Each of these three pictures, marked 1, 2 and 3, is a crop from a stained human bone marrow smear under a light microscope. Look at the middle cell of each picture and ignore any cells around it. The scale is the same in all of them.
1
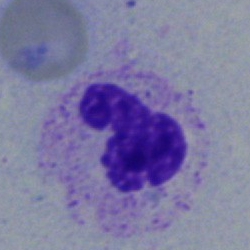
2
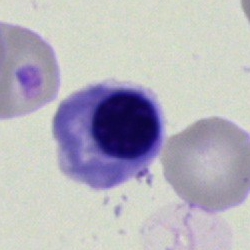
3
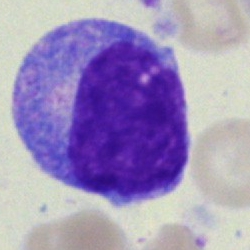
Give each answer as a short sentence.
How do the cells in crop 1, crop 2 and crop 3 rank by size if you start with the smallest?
From the smallest up, the order is 2, 1, 3.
